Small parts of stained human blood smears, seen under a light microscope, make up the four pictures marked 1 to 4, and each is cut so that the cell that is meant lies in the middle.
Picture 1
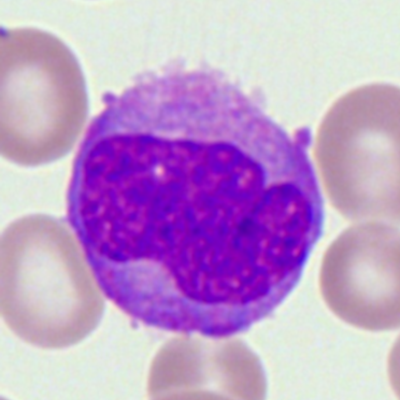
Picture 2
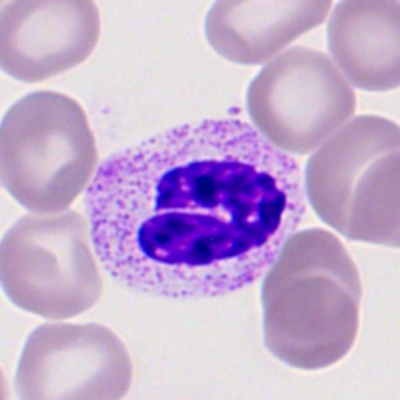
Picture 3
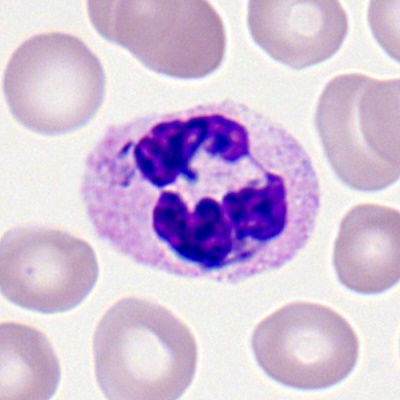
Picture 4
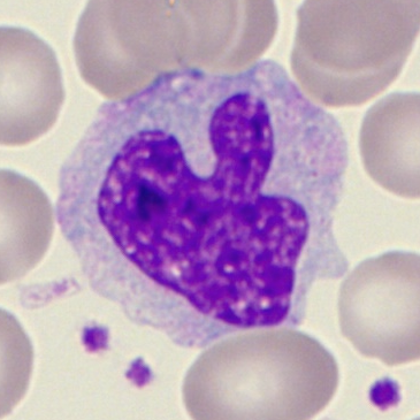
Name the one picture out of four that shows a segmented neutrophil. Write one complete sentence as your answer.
The segmented neutrophil is the one in picture 3.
